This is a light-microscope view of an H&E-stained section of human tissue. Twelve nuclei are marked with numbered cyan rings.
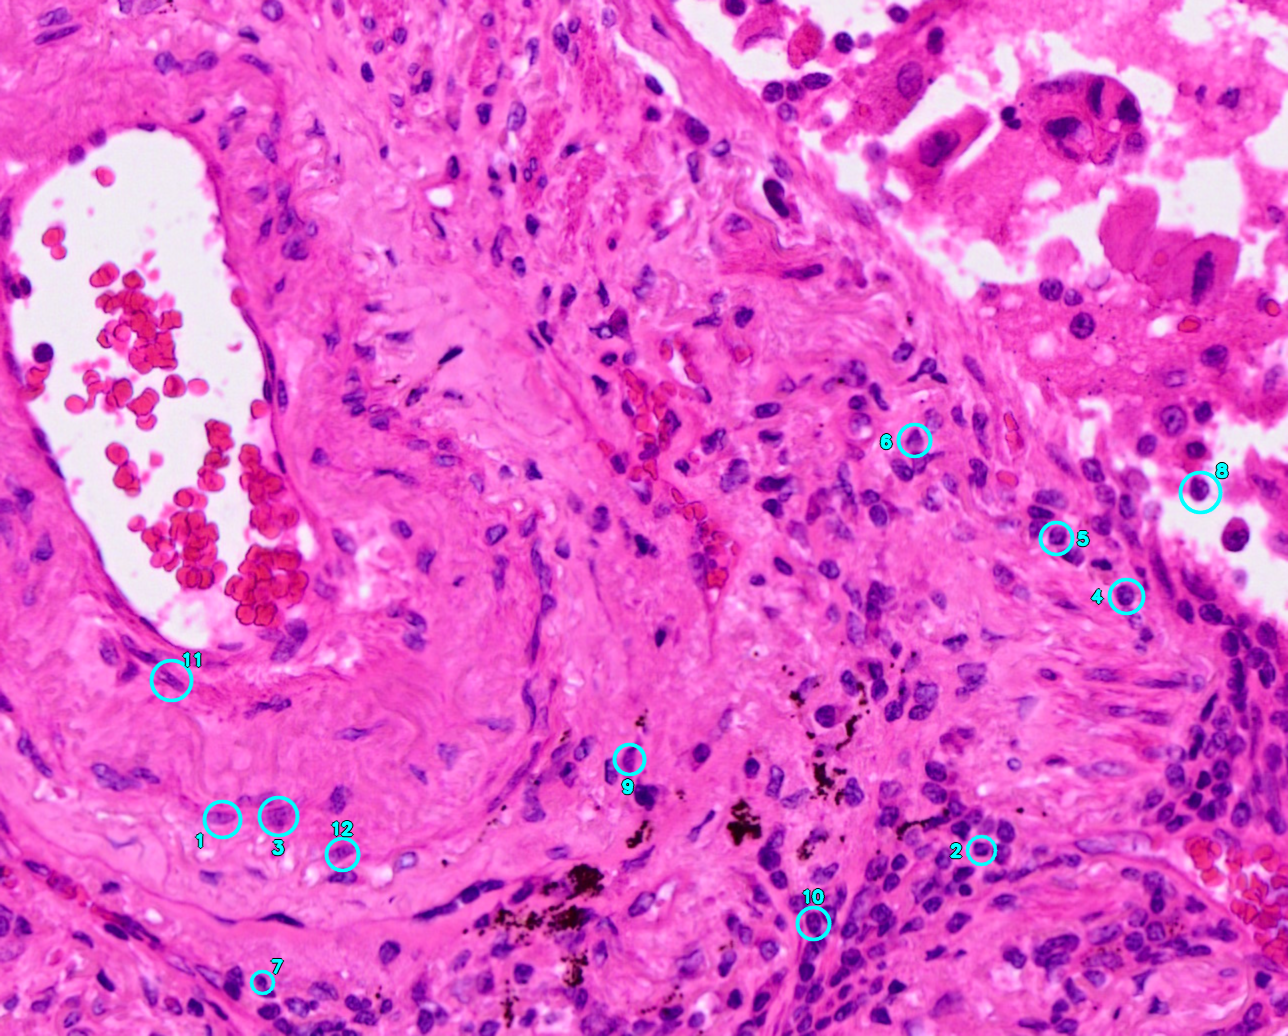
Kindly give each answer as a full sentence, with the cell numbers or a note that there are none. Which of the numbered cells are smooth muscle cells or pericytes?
The cells that have been numbered 1, 3, 11 and 12 are smooth muscle cells or pericytes.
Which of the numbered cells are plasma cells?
The sole numbered cell that is a plasma cell is cell 9.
